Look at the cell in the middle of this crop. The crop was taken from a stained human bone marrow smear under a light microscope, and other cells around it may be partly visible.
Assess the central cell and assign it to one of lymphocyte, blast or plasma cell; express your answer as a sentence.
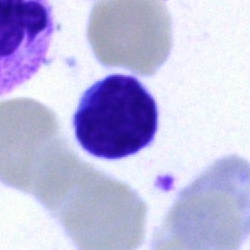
Standing at the centre of this crop is a lymphocyte.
